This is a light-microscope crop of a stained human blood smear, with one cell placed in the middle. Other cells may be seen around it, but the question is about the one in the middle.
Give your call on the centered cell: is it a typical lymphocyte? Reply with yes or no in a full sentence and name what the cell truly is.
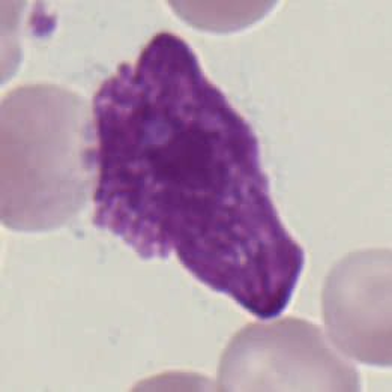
No, the cell at the centre of the crop is a smudge cell and not a typical lymphocyte.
